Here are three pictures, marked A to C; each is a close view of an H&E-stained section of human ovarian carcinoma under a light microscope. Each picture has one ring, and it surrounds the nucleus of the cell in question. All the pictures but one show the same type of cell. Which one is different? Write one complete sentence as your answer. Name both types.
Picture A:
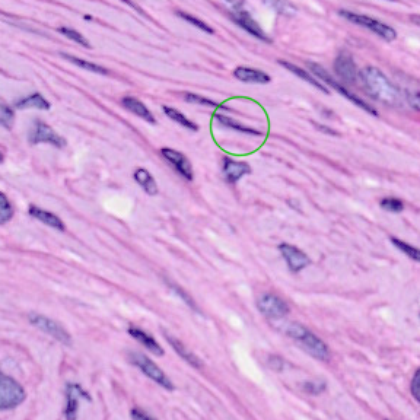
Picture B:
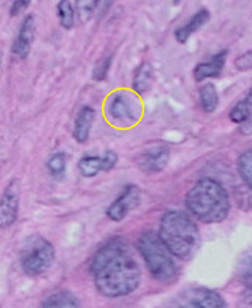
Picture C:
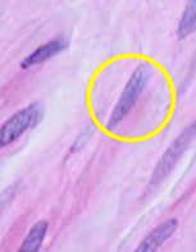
The different one is picture C; it shows a smooth muscle cell, whereas all the others show fibroblasts.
